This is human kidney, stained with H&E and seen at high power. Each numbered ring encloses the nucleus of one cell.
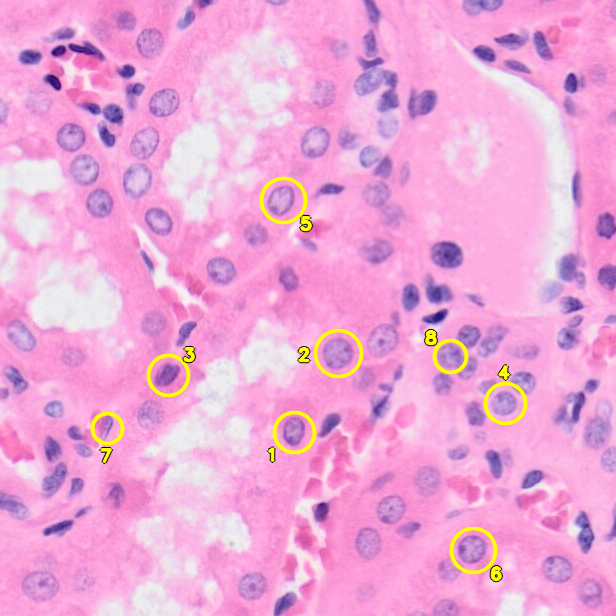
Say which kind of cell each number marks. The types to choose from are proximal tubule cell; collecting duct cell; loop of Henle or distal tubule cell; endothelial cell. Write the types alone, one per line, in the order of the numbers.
proximal tubule cell
proximal tubule cell
proximal tubule cell
collecting duct cell
proximal tubule cell
proximal tubule cell
endothelial cell
collecting duct cell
